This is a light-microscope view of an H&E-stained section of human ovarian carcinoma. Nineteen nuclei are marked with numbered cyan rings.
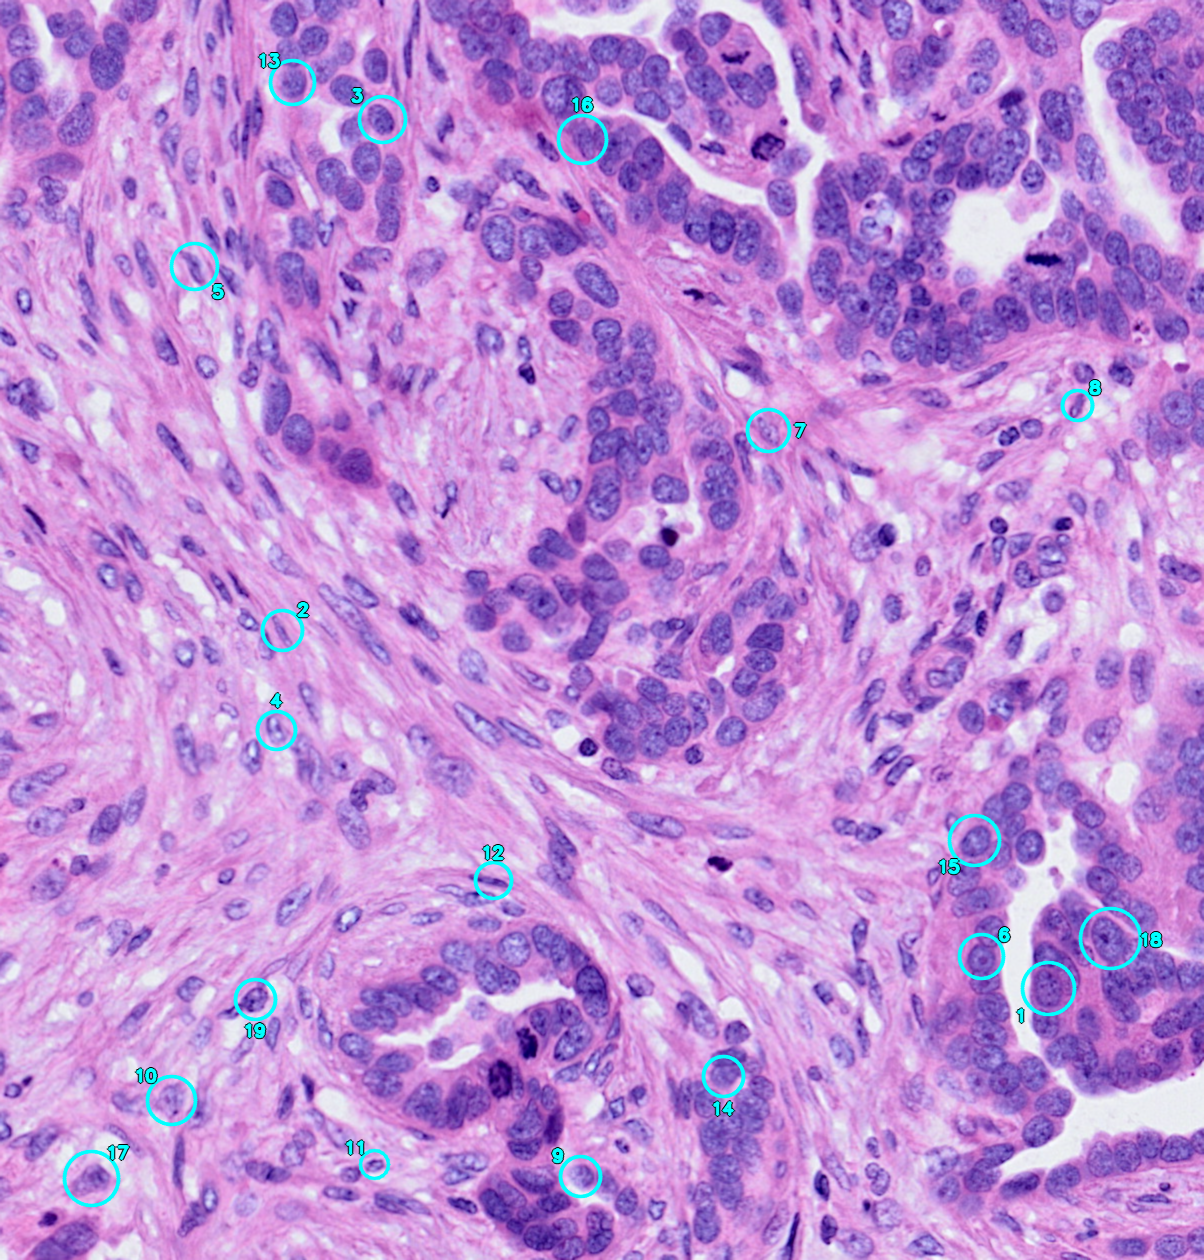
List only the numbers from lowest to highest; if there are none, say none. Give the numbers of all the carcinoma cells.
1, 3, 6, 9, 13, 14, 15, 16, 18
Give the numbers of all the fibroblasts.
2, 4, 5, 7, 8, 10, 12, 17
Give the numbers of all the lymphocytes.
11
